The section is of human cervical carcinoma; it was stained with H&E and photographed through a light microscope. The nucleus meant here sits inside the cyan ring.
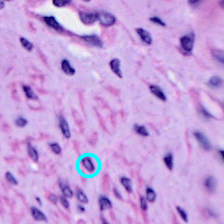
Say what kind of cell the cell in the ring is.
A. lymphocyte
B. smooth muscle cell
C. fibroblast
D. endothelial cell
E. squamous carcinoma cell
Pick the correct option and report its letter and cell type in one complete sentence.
Option B is accurate, for the cell in the ring is a smooth muscle cell.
